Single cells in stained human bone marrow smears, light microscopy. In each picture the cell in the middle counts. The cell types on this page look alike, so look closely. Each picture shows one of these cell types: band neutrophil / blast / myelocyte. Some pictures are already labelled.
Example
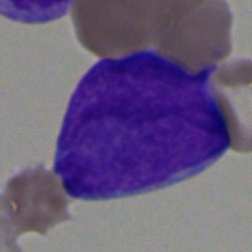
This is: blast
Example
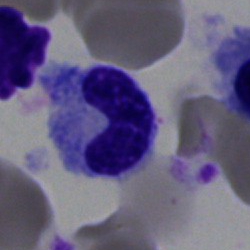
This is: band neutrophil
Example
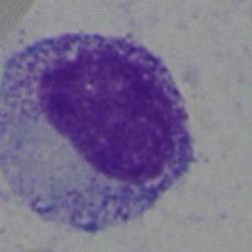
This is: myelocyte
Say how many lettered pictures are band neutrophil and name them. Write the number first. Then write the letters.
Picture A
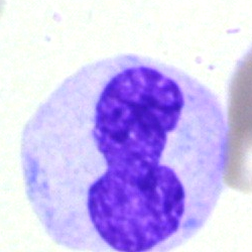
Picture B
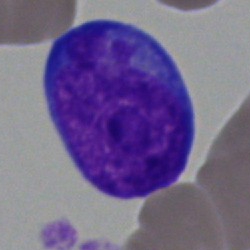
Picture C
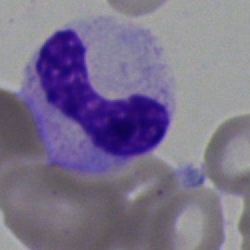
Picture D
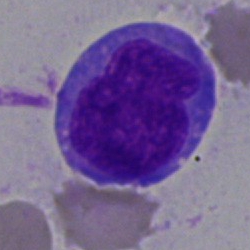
2: A, C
